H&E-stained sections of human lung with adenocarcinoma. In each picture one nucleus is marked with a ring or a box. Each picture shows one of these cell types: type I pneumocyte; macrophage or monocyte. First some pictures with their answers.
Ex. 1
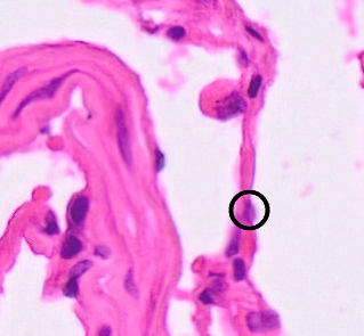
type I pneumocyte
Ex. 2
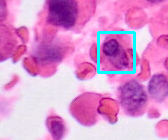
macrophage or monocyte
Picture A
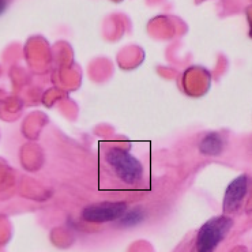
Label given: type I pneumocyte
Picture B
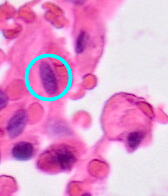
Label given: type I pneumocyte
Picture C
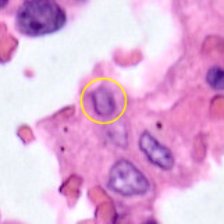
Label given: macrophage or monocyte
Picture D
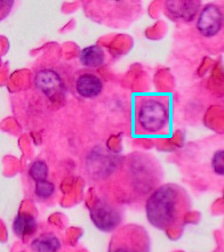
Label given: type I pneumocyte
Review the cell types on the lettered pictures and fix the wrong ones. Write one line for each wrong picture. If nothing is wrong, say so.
Wrong: D (type I pneumocyte); correct: macrophage or monocyte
